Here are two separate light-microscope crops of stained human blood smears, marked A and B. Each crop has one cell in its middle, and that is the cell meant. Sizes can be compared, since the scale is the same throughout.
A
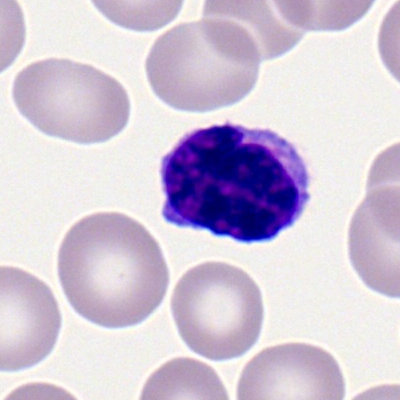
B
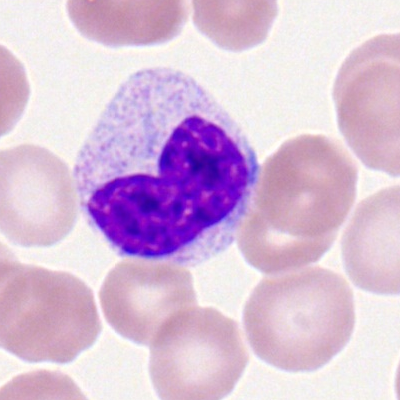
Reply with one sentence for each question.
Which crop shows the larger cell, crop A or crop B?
Larger is the cell in crop B, at roughly 2 times the area of the other.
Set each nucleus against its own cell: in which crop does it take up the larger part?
The nucleus fills more of the cell in crop A than in crop B.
